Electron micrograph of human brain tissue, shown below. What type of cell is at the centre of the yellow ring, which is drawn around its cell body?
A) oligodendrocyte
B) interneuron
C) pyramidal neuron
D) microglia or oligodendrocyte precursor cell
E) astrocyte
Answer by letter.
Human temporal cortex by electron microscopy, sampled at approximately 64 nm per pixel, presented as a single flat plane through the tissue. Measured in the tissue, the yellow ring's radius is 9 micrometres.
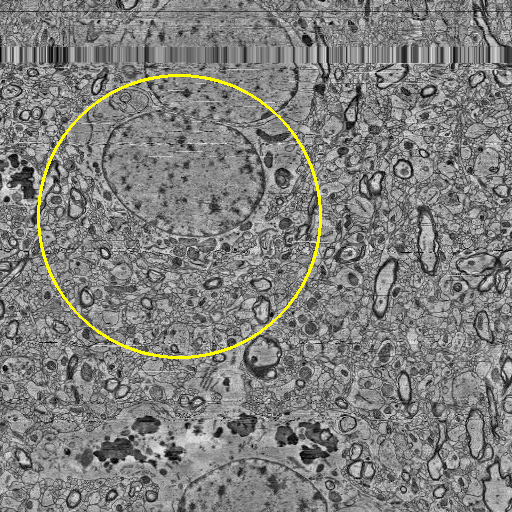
E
